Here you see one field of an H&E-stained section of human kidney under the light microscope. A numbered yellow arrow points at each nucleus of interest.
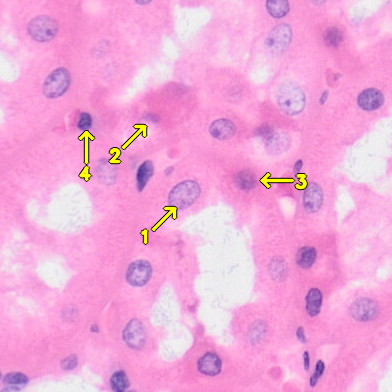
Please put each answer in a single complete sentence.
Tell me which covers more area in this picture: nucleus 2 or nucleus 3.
At about 2.5 times the area of nucleus 2, nucleus 3 is the larger of the two.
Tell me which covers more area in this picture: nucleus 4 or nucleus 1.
Number 1 is larger; its area is about 3 times that of number 4.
